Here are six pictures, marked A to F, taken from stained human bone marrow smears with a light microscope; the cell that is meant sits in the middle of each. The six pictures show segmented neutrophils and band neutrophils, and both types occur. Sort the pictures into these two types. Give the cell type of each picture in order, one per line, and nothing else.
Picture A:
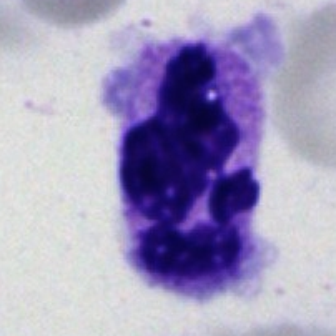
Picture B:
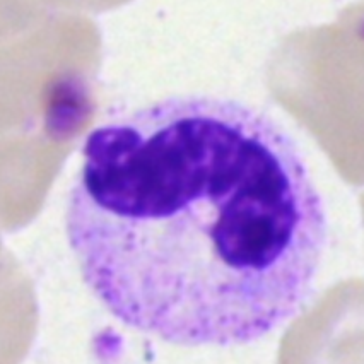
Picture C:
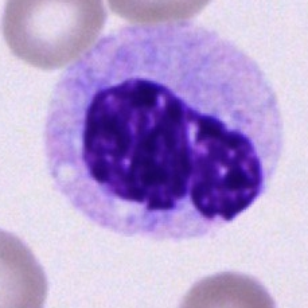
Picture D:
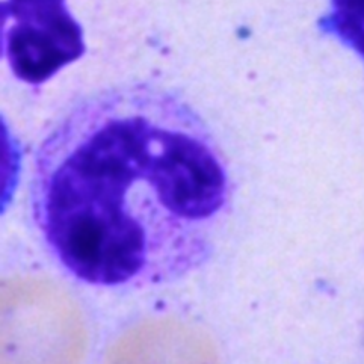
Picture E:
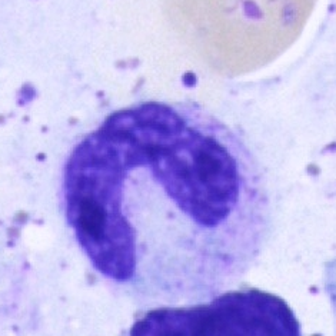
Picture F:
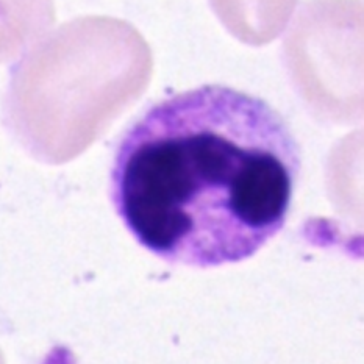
segmented neutrophil
segmented neutrophil
segmented neutrophil
band neutrophil
band neutrophil
segmented neutrophil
